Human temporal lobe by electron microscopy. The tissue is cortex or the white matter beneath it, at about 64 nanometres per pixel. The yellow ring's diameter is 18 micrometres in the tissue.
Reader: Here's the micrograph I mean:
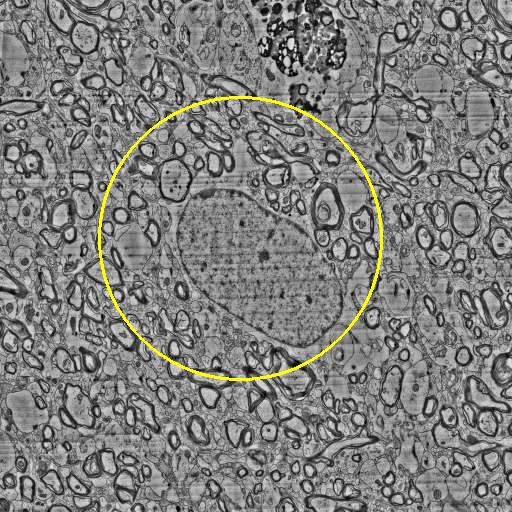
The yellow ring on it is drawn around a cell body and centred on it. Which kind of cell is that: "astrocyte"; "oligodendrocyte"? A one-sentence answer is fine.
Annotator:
The ring is centred on an astrocyte.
